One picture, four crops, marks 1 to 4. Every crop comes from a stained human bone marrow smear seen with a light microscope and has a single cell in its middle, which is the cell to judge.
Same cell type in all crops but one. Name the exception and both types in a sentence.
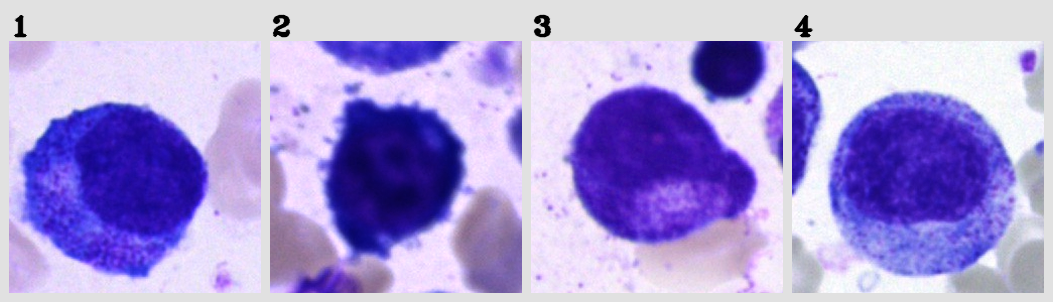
The outlier here is crop 2, which is a proerythroblast, while the remainder show promyelocytes.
